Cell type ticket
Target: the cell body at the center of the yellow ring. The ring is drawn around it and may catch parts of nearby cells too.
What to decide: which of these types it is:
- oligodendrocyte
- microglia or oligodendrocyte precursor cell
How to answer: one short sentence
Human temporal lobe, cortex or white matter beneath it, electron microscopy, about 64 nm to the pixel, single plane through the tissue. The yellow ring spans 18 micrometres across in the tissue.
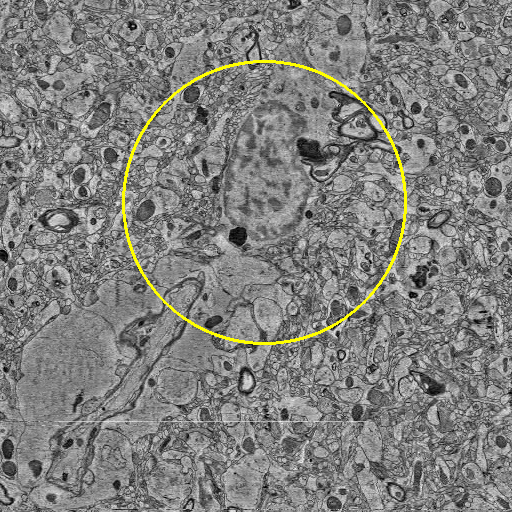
The cell at the center of the ring is an oligodendrocyte.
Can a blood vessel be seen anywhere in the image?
Yes, the picture includes a blood vessel.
